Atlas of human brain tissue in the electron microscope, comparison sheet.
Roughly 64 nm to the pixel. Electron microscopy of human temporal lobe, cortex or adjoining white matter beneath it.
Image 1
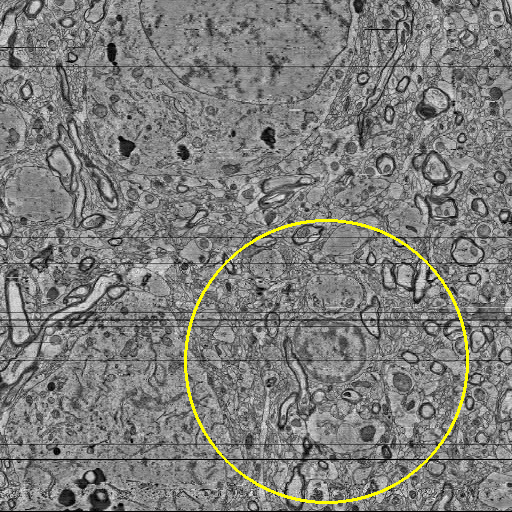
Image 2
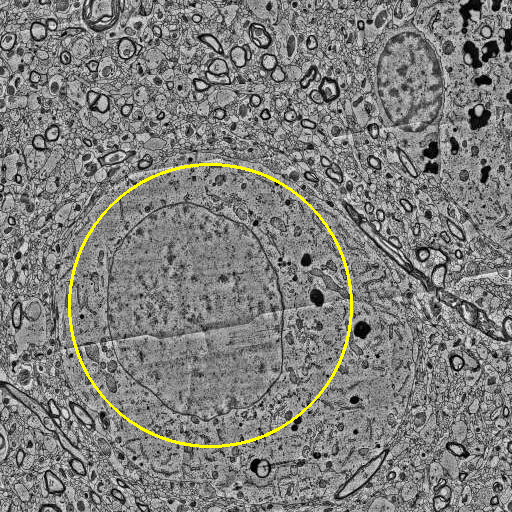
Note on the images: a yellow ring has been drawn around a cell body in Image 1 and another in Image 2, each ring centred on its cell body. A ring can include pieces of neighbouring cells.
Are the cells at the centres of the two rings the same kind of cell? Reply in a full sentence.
No, the two cells are of two kinds.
